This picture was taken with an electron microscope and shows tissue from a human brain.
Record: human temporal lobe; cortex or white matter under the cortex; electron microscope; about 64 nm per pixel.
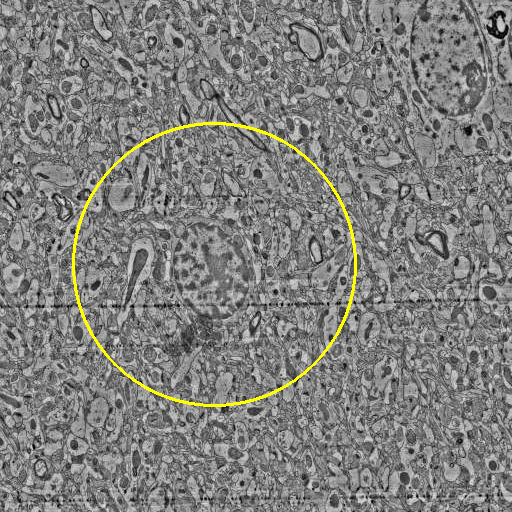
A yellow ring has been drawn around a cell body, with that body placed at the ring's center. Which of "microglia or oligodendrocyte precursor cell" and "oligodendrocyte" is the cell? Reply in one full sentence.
In this picture, an oligodendrocyte is the cell at the center of the yellow ring.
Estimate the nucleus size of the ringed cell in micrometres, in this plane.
The nucleus appears roughly 6 by 5 micrometres in this plane.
